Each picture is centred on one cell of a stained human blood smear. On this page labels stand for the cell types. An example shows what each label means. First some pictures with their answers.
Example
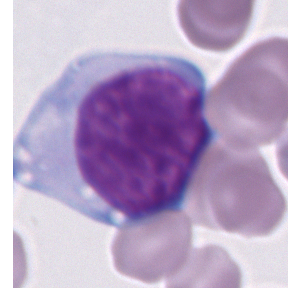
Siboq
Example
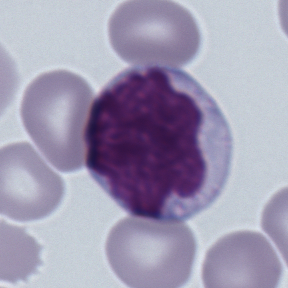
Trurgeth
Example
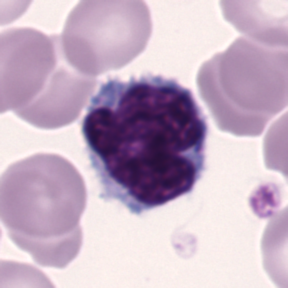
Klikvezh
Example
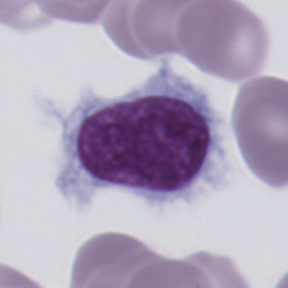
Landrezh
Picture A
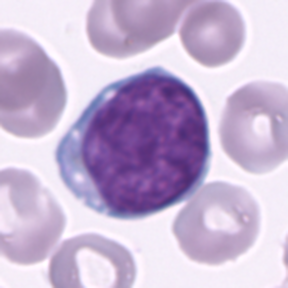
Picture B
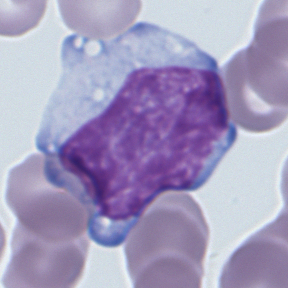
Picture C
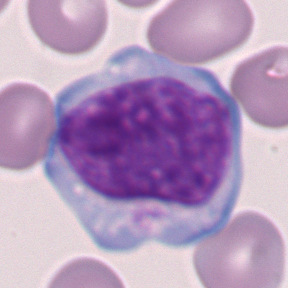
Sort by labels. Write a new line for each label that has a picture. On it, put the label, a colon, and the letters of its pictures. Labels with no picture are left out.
Siboq: A, B, C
